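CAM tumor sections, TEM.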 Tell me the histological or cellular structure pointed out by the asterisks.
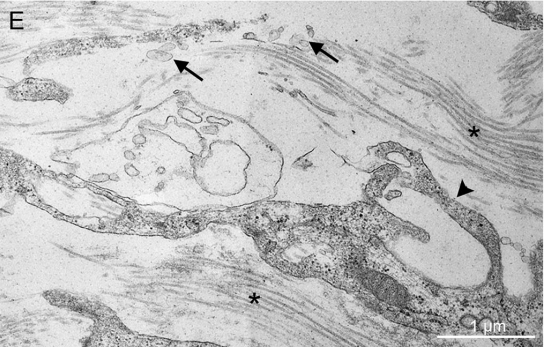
collagen bundles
